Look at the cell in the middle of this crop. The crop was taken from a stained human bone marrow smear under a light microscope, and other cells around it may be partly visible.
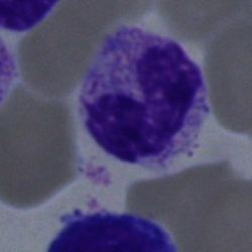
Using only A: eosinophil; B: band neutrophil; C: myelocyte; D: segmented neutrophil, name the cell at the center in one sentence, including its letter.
The cell in the middle is a band neutrophil, and that makes option B correct.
